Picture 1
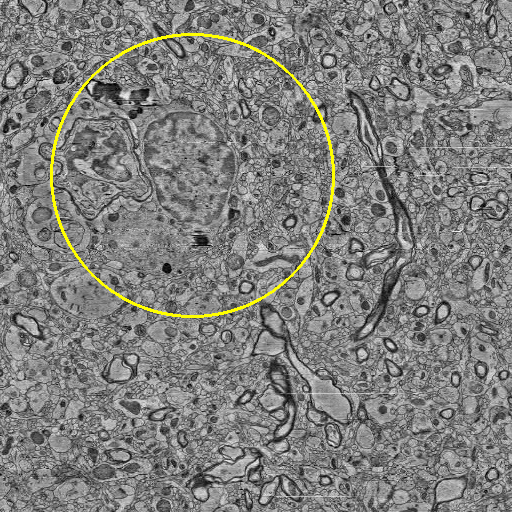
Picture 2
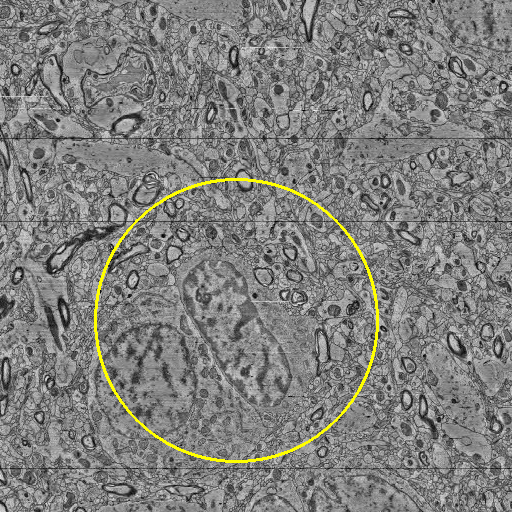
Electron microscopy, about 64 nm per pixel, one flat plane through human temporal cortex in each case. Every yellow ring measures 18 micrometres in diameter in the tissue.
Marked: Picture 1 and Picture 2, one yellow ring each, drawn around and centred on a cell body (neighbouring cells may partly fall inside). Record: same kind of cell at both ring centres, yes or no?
yes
